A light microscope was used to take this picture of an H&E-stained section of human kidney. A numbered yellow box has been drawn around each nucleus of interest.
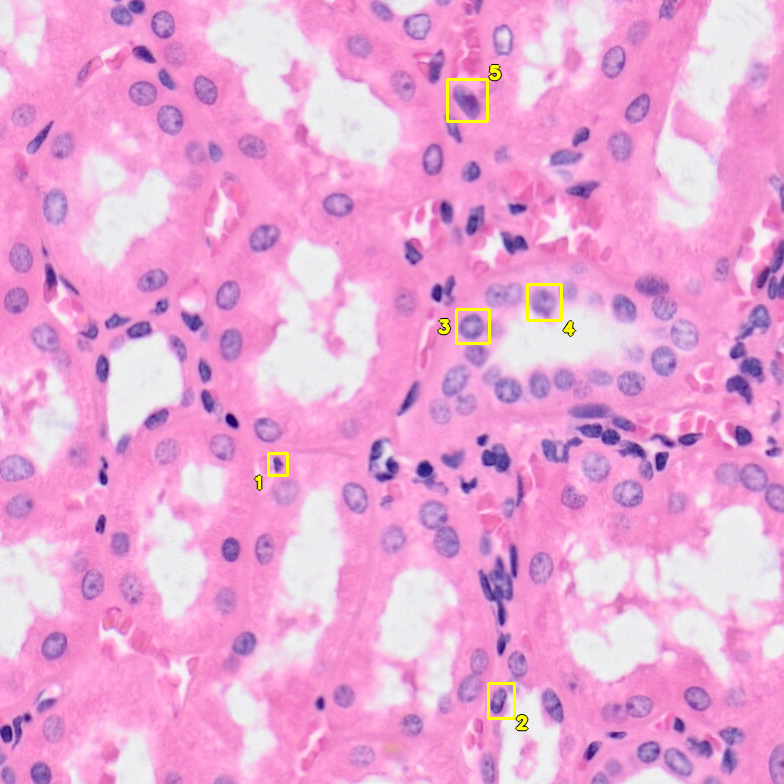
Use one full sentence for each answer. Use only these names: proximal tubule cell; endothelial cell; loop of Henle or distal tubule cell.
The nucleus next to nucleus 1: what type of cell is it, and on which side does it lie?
It is a proximal tubule cell, whose nucleus lies below nucleus 1.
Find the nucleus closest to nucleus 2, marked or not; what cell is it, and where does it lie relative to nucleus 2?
Just above and to the right of nucleus 2 lies the nearest nucleus, which belongs to a loop of Henle or distal tubule cell.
